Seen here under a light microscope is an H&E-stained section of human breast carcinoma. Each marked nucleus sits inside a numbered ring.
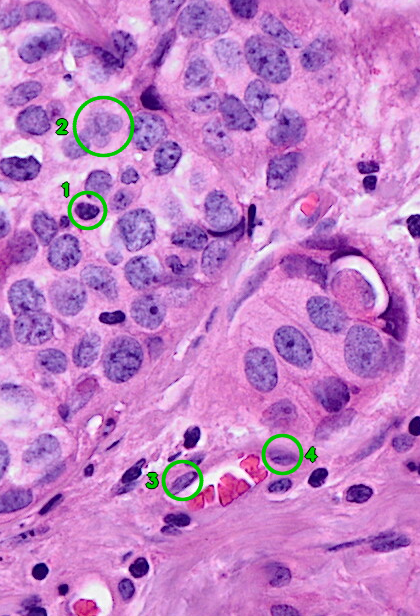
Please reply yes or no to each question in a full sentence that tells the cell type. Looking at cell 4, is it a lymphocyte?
No; cell 4 is an endothelial cell, not a lymphocyte.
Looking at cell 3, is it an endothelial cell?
Yes, the cell carrying label 3 is an endothelial cell.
